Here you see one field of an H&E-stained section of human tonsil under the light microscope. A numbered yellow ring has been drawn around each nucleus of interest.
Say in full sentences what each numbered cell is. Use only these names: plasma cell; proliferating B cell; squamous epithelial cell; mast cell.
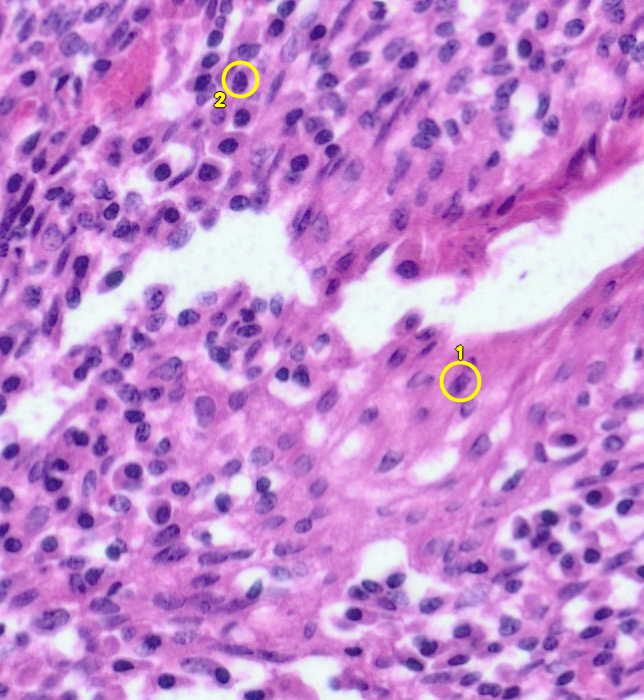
Cell 1 is a squamous epithelial cell and cell 2 is a plasma cell.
